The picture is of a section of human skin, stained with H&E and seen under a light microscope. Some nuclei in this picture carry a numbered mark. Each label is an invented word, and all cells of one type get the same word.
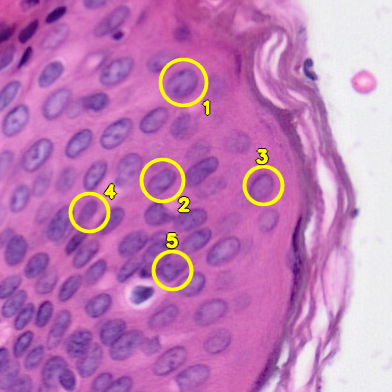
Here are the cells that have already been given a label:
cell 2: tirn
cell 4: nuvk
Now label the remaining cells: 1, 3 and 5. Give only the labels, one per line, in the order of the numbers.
tirn
tirn
nuvk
